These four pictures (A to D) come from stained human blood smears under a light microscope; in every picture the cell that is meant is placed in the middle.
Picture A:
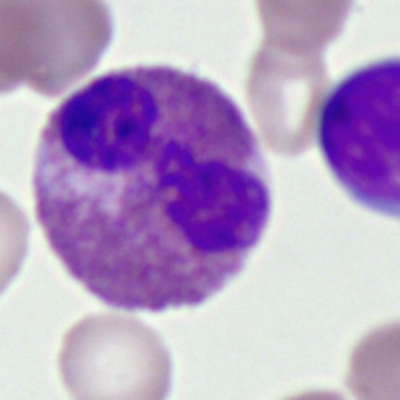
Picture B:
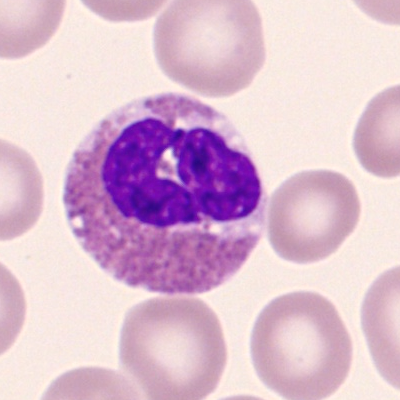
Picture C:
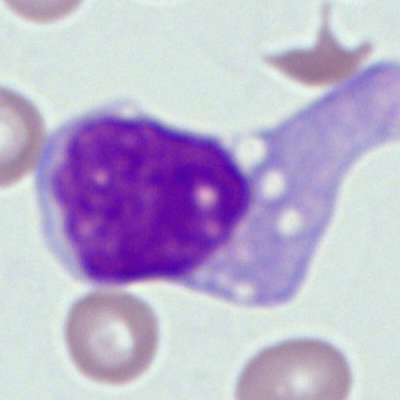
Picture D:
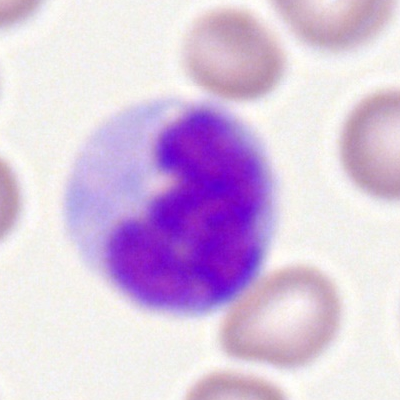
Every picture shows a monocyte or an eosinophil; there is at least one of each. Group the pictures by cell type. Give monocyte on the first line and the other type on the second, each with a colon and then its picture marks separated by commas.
monocyte: C, D
eosinophil: A, B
